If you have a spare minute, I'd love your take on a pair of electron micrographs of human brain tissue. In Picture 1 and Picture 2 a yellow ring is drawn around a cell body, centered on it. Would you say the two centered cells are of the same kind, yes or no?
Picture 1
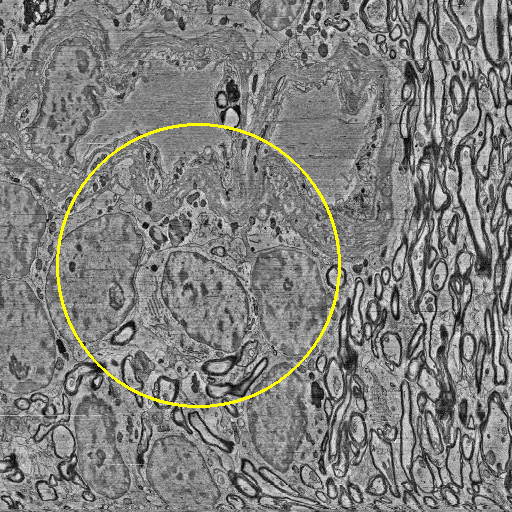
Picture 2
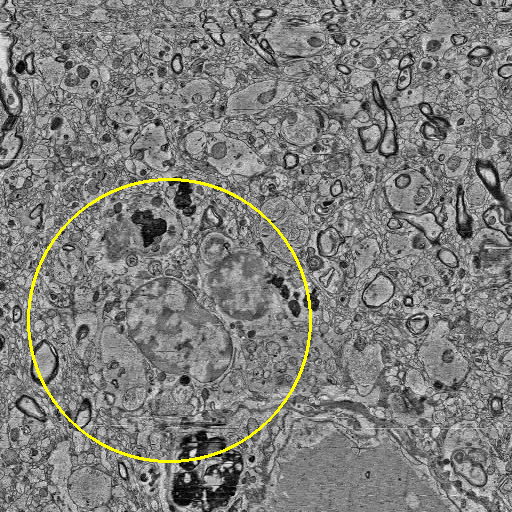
yes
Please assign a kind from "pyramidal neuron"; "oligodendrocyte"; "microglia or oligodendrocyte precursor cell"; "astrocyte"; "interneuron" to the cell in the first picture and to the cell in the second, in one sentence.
Each of the two pictures has a microglial cell or oligodendrocyte precursor cell at the ring centre.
